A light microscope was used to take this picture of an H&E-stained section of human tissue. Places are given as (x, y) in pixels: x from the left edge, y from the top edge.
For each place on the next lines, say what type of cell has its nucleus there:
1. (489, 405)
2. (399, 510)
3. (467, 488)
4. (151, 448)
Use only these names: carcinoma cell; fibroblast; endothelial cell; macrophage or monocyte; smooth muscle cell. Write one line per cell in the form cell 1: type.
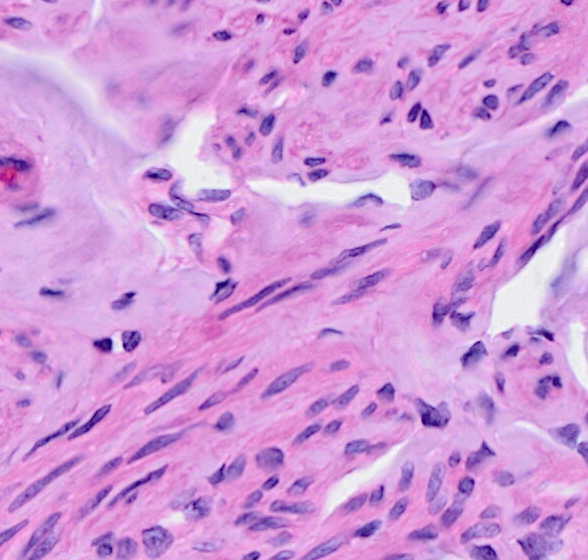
cell 1: fibroblast
cell 2: smooth muscle cell
cell 3: smooth muscle cell
cell 4: smooth muscle cell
